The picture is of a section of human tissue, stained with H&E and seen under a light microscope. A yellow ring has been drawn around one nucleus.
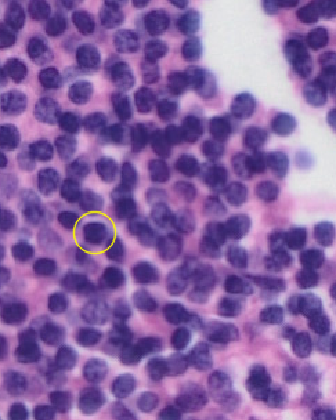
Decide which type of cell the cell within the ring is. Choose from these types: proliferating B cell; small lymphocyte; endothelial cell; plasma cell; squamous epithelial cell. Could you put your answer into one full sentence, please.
In this tissue sample, the cell within the ring is a small lymphocyte.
